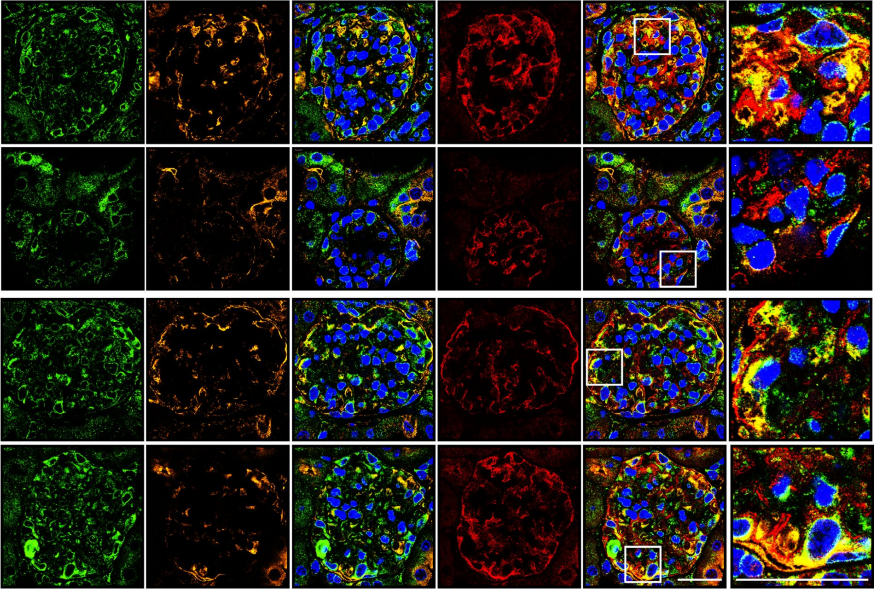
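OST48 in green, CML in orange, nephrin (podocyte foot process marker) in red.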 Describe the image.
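Rounded glomerular tufts in kidney sections, with many blue nuclei packed closely inside a thin outer boundary. Green and orange signals lie around and between the nuclei, partly overlapping to yellow, while red lines trace curving loops through the tuft. The enlarged views at the right show single blue nuclei wrapped in red, green and orange material.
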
